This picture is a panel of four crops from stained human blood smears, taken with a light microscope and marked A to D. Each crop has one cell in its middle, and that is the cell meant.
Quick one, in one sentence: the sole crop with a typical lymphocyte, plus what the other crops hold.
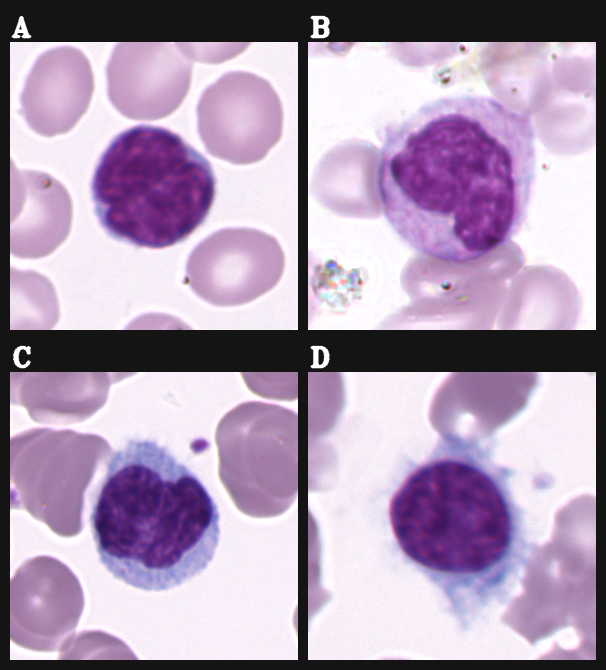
Among these crops, crop A shows a typical lymphocyte, while crop B is a band neutrophil, crop C is a monocyte and crop D is a hairy cell.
